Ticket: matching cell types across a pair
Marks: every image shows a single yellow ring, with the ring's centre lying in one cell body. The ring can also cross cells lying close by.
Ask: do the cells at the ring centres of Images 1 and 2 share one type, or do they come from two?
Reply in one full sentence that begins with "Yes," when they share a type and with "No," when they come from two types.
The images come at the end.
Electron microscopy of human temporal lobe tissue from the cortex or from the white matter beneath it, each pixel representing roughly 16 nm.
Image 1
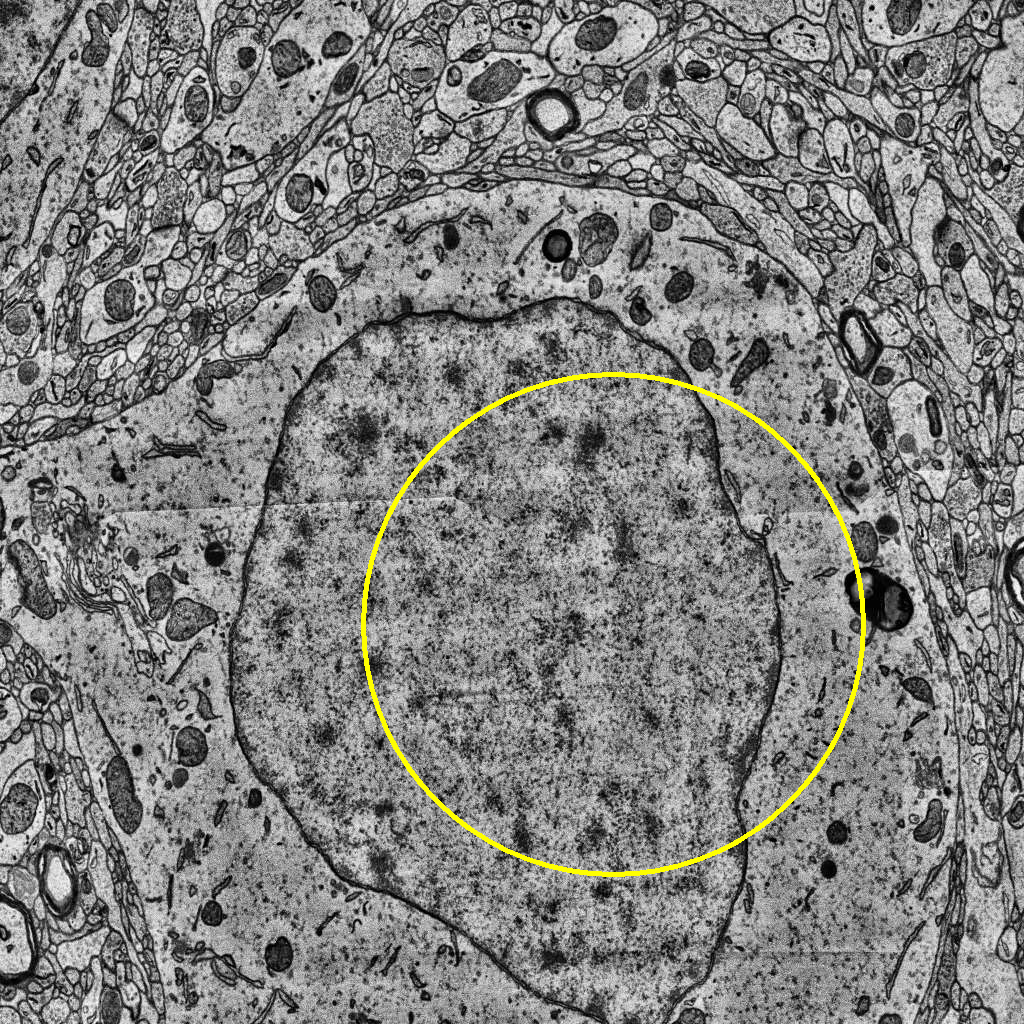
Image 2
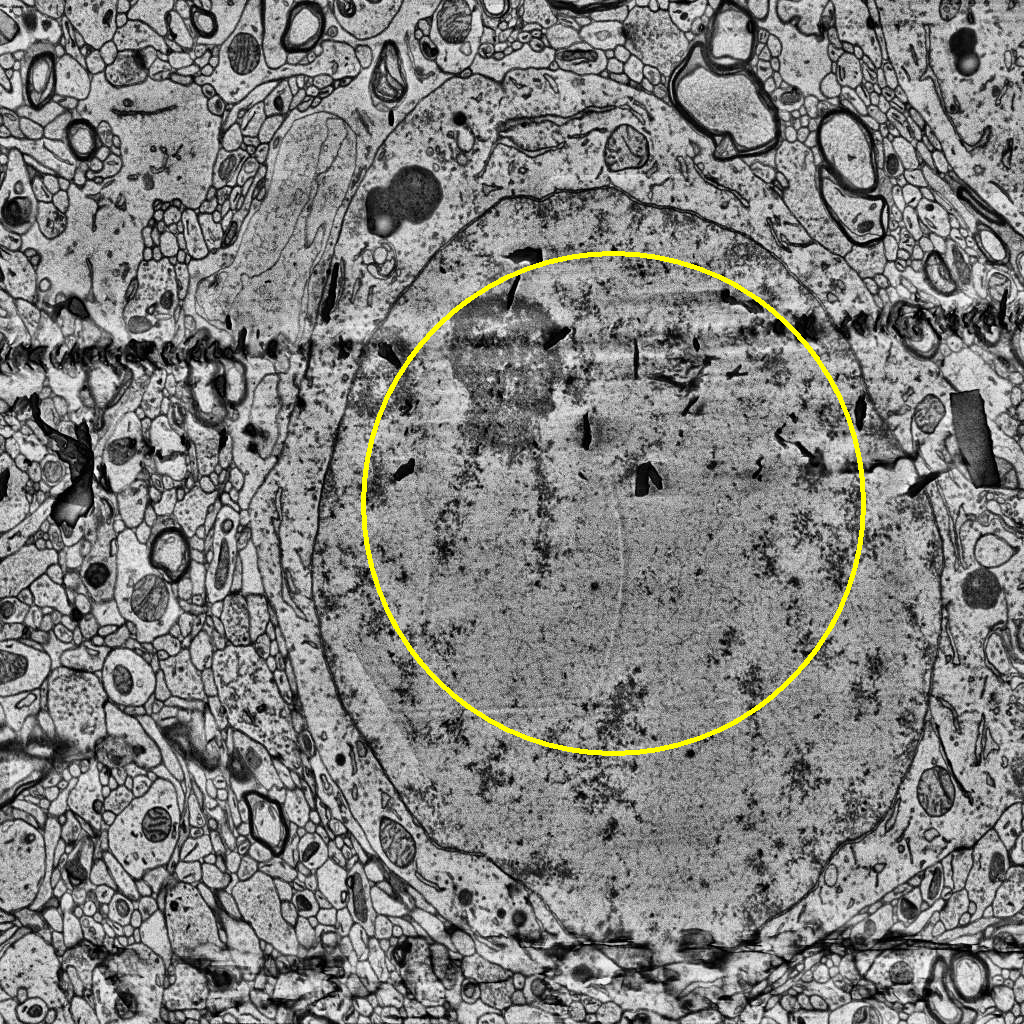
Yes, the cells at the centres of the rings in Image 1 and Image 2 share one type.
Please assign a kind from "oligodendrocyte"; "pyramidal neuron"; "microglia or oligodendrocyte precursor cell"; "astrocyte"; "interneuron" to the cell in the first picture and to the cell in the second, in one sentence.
The second cell is a pyramidal neuron, just as the first is.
